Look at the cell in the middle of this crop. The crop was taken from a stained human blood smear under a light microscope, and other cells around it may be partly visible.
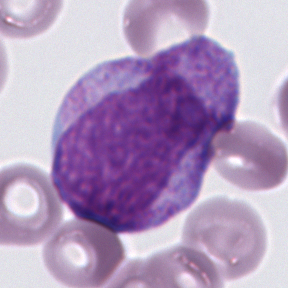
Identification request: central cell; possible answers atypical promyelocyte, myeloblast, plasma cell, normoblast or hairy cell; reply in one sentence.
The cell at the middle of the crop is recognized as an atypical promyelocyte.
